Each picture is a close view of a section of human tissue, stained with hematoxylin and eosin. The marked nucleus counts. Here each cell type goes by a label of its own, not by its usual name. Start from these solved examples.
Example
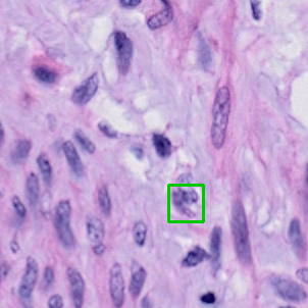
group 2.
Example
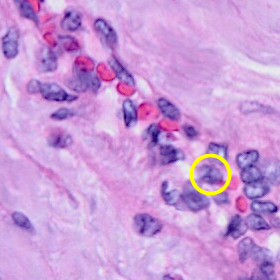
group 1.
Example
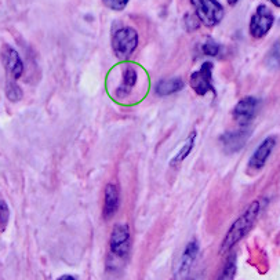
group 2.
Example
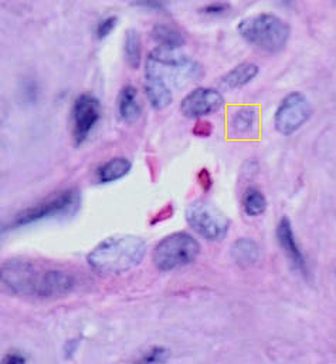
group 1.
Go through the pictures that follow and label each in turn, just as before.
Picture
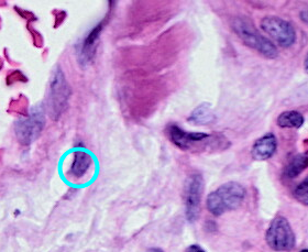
group 2.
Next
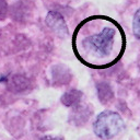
group 2.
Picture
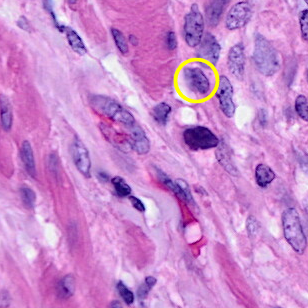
group 2.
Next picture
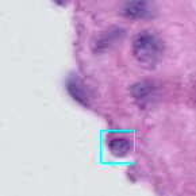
group 1.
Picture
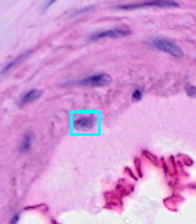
group 1.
